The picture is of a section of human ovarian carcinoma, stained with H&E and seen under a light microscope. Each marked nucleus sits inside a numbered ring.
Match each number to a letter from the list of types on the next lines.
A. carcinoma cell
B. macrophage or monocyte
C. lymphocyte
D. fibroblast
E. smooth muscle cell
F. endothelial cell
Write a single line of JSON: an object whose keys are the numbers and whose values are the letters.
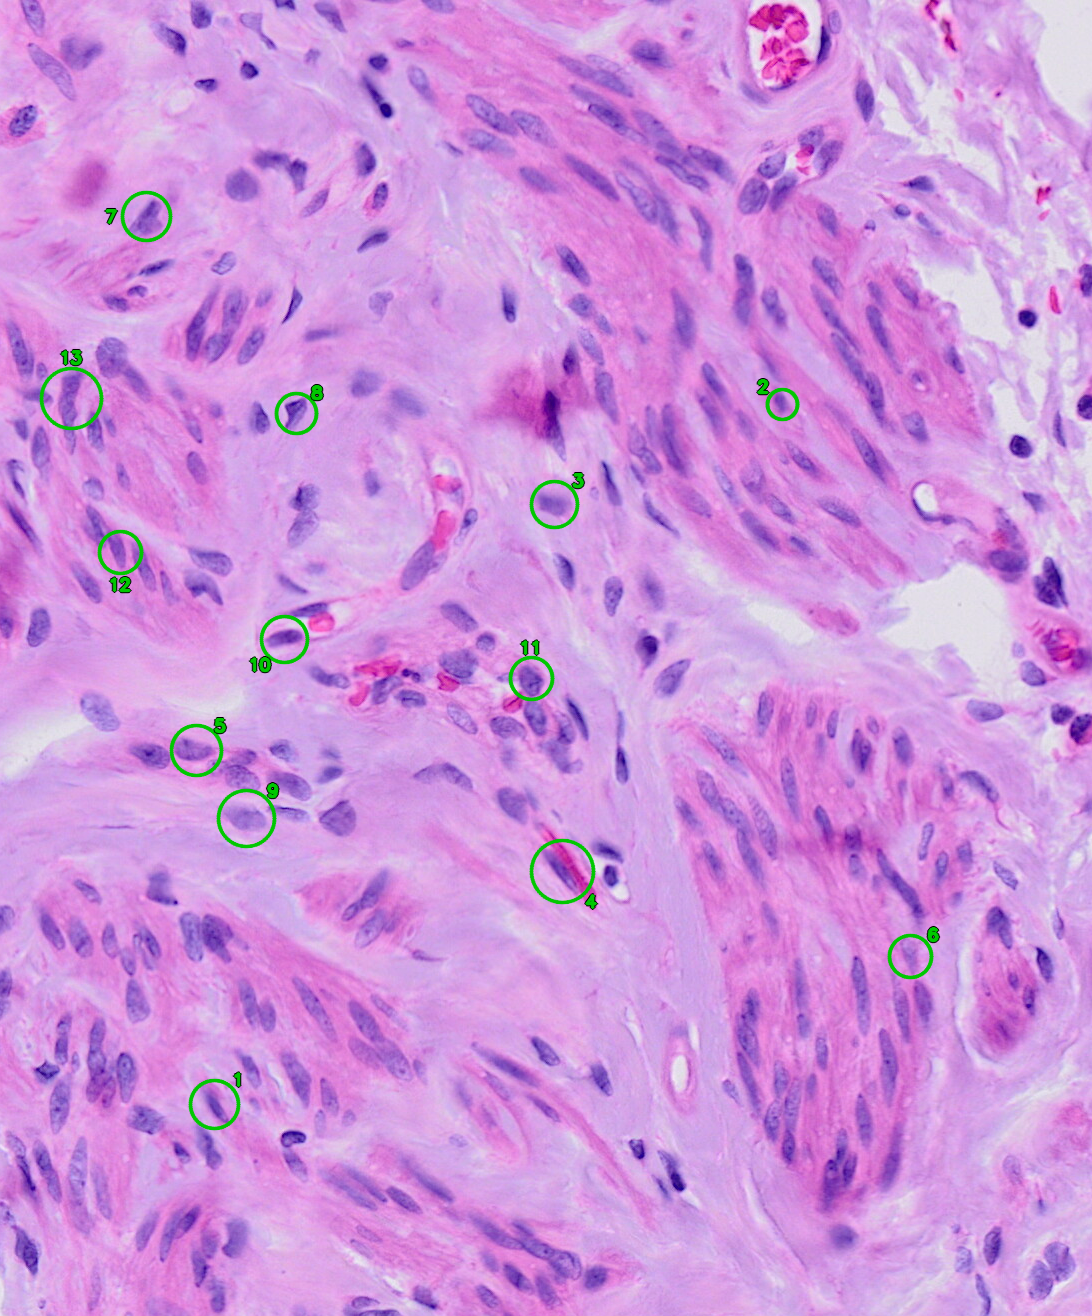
{"1": "E", "2": "E", "3": "D", "4": "F", "5": "F", "6": "E", "7": "D", "8": "D", "9": "D", "10": "F", "11": "F", "12": "E", "13": "E"}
